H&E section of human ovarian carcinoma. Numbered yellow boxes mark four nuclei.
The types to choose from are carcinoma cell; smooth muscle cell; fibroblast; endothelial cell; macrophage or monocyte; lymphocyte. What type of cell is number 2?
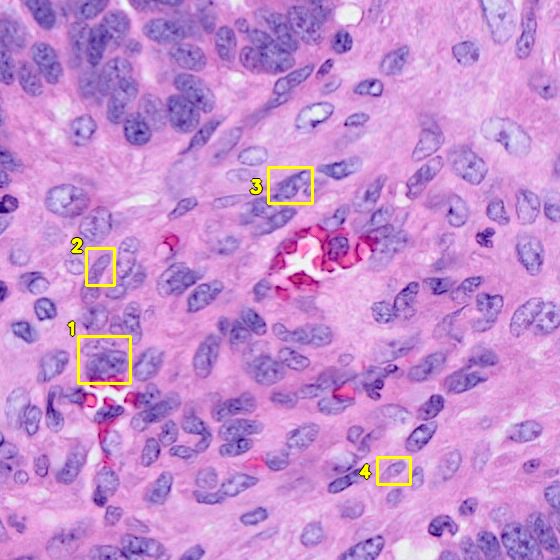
fibroblast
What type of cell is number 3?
fibroblast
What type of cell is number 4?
fibroblast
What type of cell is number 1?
endothelial cell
